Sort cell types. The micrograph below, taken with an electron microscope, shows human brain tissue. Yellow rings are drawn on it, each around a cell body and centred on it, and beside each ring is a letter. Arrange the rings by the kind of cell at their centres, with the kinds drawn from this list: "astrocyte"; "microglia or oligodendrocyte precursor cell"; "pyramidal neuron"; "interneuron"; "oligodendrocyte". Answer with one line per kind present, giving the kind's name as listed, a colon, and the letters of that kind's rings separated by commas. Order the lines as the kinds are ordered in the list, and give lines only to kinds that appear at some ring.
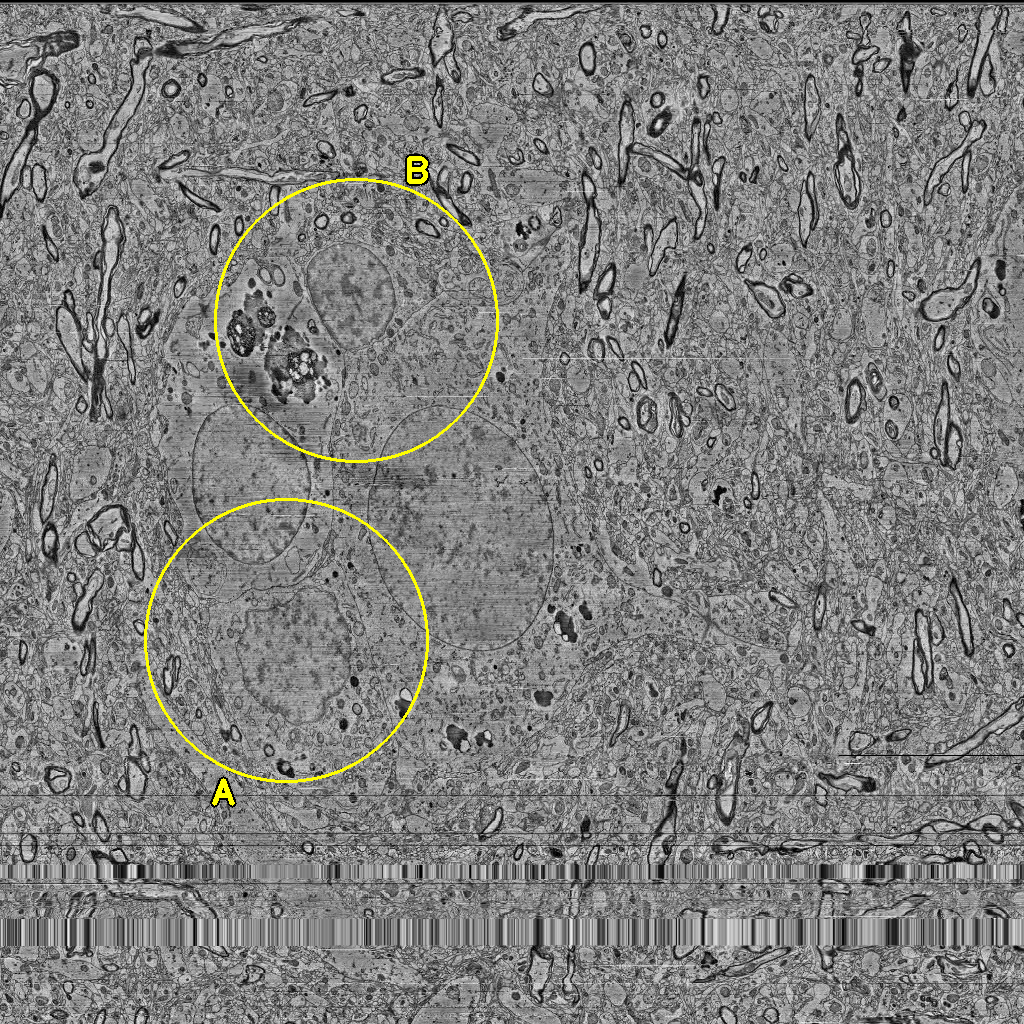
interneuron: A
oligodendrocyte: B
